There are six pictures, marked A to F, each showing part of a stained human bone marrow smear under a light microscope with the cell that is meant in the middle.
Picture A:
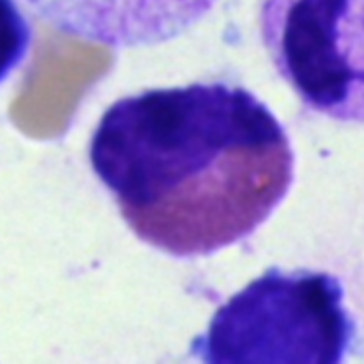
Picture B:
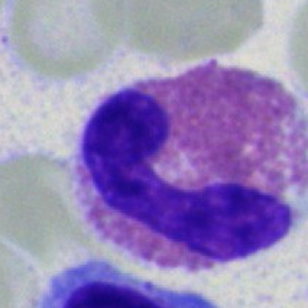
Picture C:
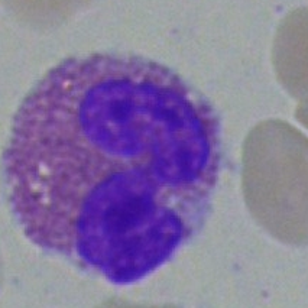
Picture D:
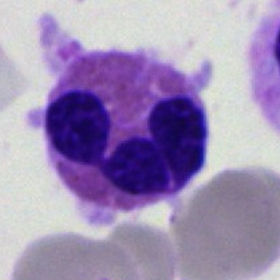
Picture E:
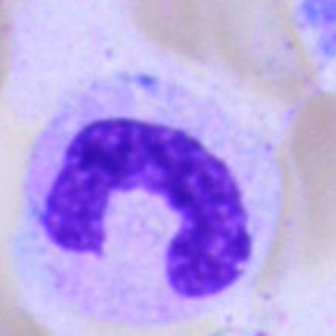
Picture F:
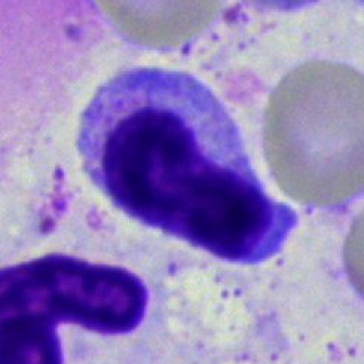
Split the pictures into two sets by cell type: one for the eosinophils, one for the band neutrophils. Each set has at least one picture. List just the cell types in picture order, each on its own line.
eosinophil
eosinophil
eosinophil
eosinophil
band neutrophil
band neutrophil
